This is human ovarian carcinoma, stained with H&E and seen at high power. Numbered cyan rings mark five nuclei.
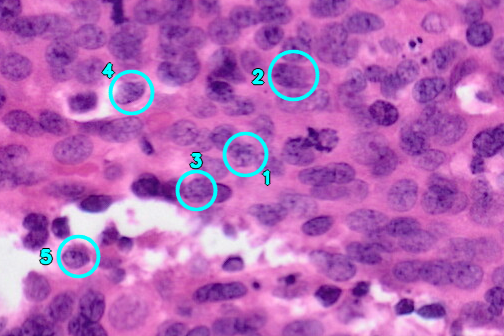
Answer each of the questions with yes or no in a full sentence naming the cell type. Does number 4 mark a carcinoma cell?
No, cell 4 is not to be taken for a carcinoma cell; it is a macrophage or monocyte.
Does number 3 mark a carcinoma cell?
Yes, the cell that the number 3 labels is a carcinoma cell.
